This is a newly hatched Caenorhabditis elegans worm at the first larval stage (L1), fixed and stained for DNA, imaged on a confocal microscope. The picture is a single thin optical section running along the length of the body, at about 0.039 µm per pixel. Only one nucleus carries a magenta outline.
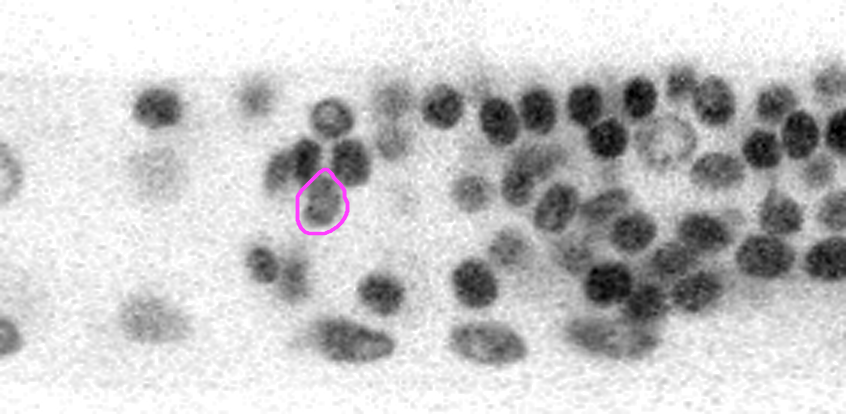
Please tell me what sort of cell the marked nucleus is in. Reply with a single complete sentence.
The marked nucleus is that of a pharyngeal muscle cell.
